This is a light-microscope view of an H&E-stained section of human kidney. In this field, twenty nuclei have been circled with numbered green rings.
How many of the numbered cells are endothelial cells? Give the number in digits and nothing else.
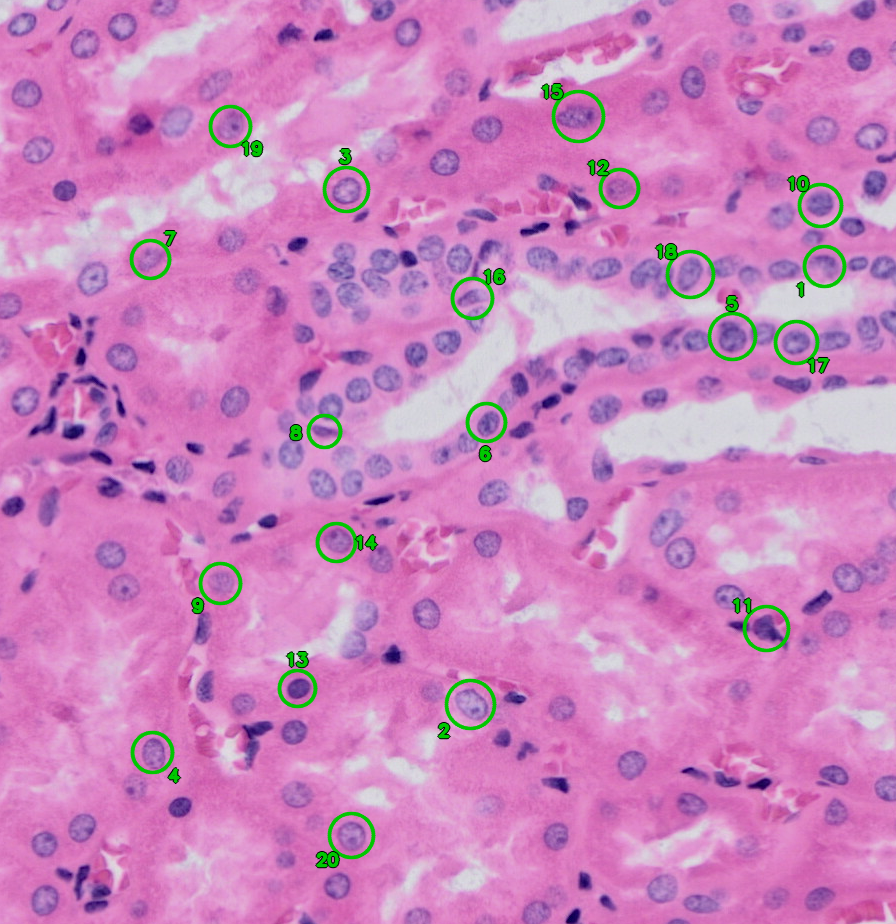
1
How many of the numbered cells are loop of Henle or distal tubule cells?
1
